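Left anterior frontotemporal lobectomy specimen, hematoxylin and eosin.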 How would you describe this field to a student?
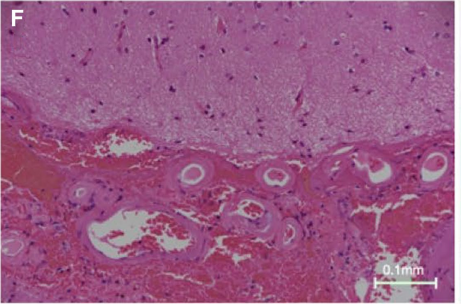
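The upper part shows brain tissue with scattered nuclei, and below it lies a band crowded with small vessels amid red blood. Many of these vessels have thick, homogeneous pink walls with narrowed round lumens.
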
